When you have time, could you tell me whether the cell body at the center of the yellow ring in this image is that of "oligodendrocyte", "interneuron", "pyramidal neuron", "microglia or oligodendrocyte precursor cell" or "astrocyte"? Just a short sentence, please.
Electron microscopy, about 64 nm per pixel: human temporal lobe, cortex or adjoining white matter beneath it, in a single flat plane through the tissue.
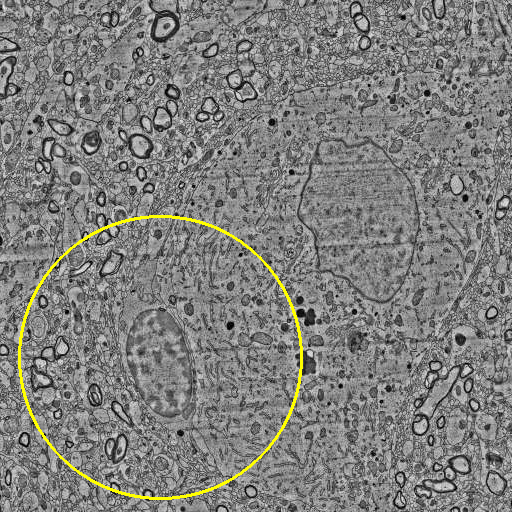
The cell body at the center of the ring is that of an oligodendrocyte.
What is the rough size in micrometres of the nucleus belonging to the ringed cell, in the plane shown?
Roughly 7 micrometres long and 4 micrometres wide; in this plane the nucleus is clearly longer than it is wide.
